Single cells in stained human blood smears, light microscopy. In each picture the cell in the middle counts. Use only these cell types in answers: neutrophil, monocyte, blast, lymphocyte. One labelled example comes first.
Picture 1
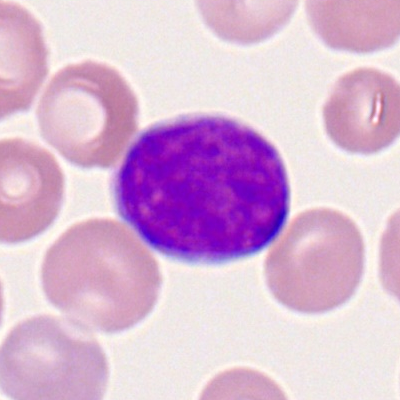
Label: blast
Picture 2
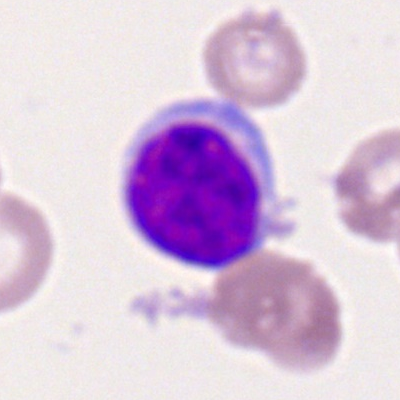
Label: lymphocyte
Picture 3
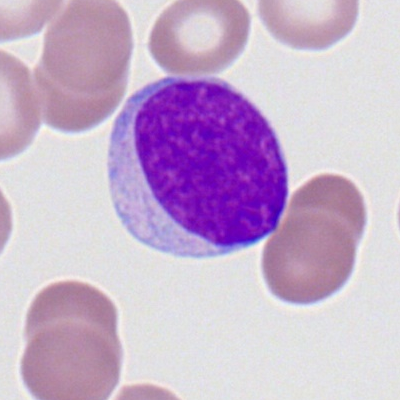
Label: blast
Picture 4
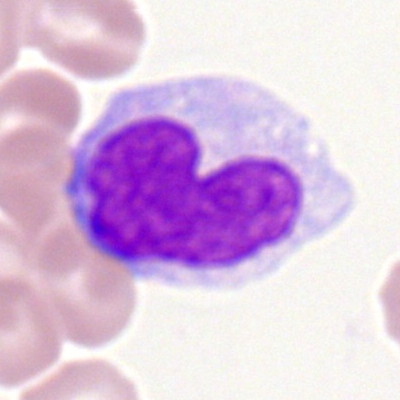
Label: monocyte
